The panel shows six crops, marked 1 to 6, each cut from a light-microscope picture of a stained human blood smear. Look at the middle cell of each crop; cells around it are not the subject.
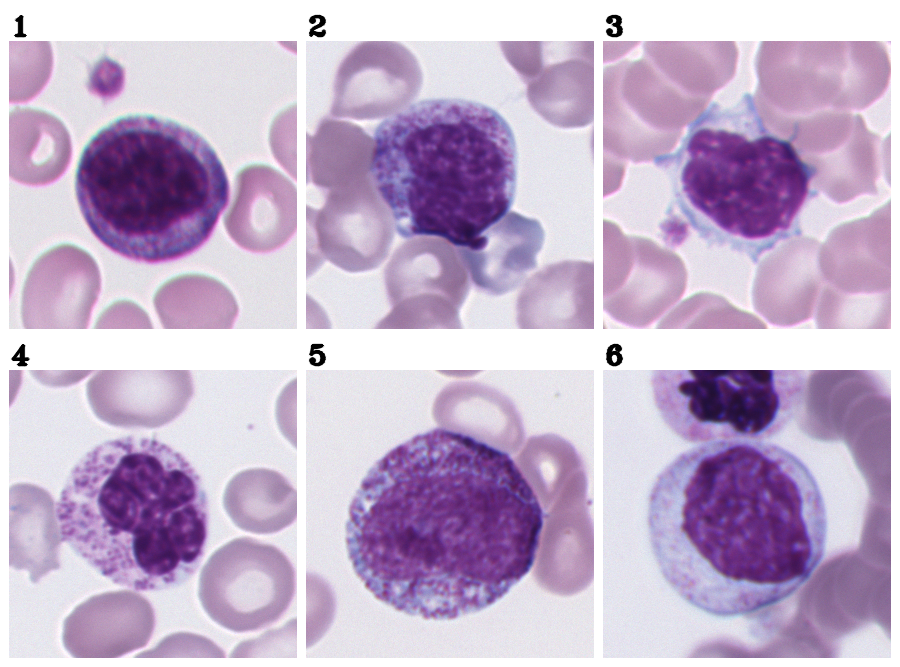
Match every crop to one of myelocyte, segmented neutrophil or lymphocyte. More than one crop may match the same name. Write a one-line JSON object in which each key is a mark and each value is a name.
{"1": "myelocyte", "2": "myelocyte", "3": "lymphocyte", "4": "segmented neutrophil", "5": "myelocyte", "6": "myelocyte"}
